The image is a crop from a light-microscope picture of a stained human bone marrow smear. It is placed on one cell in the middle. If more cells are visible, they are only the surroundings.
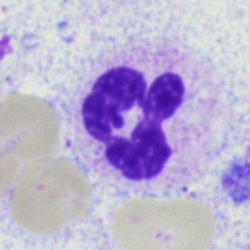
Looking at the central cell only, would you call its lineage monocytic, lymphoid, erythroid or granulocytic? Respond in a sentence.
The middle cell should be classed under the granulocytic lineage.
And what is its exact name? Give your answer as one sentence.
Standing at the centre of this crop is a segmented neutrophil.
